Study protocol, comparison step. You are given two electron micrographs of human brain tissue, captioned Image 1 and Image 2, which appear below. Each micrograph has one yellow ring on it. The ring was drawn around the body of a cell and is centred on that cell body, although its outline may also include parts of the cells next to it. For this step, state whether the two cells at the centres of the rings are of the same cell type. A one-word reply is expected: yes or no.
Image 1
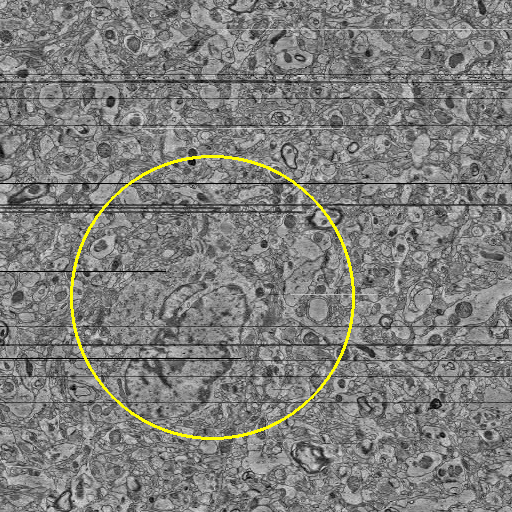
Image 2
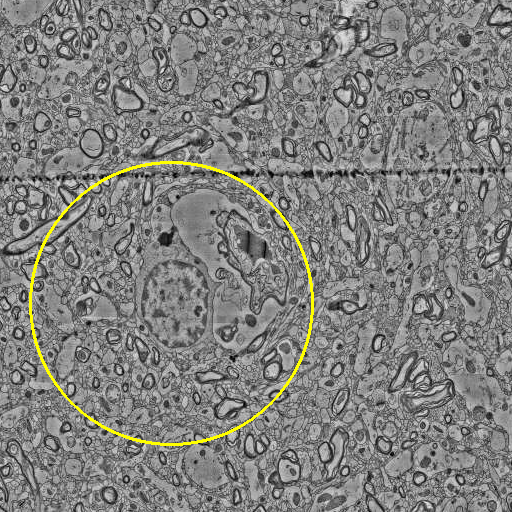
no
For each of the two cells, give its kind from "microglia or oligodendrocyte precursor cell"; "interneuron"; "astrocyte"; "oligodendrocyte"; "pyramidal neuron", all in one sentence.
The first picture has a microglial cell or oligodendrocyte precursor cell in its ring, the second has an oligodendrocyte.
